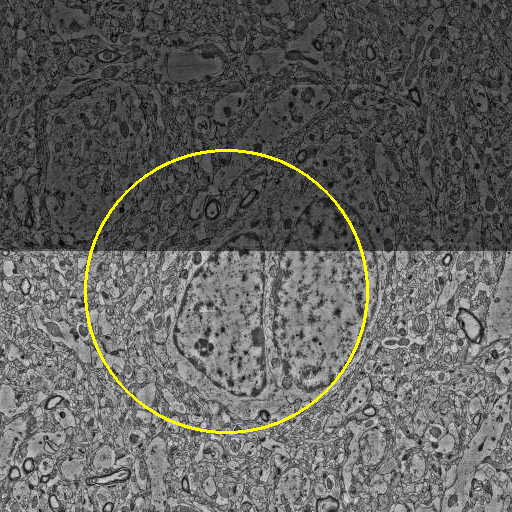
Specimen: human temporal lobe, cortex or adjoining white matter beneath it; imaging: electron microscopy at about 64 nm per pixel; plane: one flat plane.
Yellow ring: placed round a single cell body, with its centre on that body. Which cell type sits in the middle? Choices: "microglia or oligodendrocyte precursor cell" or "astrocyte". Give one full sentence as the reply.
It is a microglial cell or oligodendrocyte precursor cell whose cell body sits at the centre of the yellow ring.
